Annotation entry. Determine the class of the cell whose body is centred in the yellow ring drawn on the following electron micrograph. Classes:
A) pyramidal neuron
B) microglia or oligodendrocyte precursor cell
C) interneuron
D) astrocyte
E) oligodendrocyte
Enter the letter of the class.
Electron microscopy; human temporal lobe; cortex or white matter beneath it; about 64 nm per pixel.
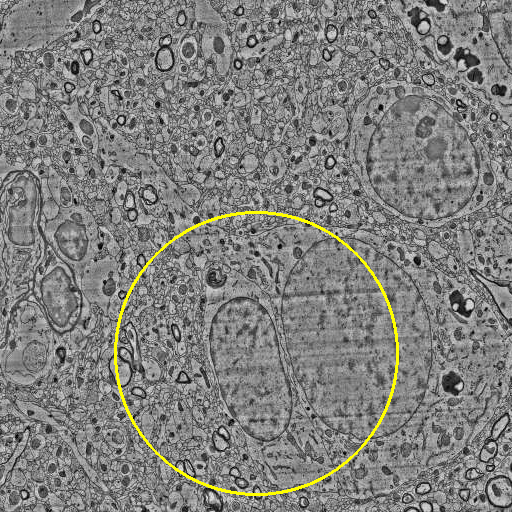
B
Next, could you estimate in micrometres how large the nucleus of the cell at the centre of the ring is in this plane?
Approximately 9 micrometres long and 5 micrometres wide, so clearly longer than it is wide in this plane.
